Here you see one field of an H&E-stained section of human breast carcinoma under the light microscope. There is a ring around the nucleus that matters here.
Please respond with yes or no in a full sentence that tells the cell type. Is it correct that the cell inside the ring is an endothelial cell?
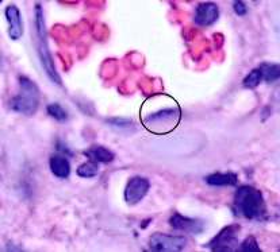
Yes, the cell inside the ring has been identified as an endothelial cell.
